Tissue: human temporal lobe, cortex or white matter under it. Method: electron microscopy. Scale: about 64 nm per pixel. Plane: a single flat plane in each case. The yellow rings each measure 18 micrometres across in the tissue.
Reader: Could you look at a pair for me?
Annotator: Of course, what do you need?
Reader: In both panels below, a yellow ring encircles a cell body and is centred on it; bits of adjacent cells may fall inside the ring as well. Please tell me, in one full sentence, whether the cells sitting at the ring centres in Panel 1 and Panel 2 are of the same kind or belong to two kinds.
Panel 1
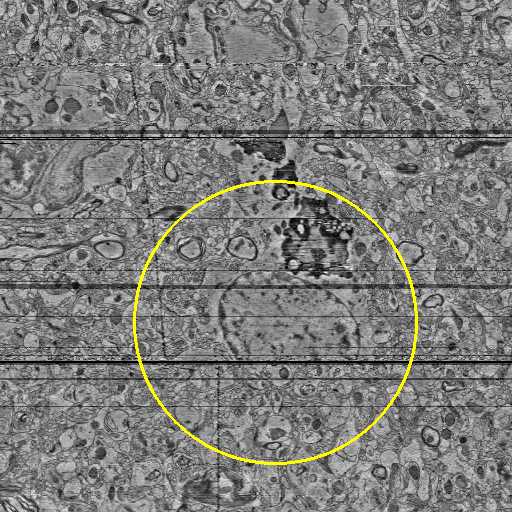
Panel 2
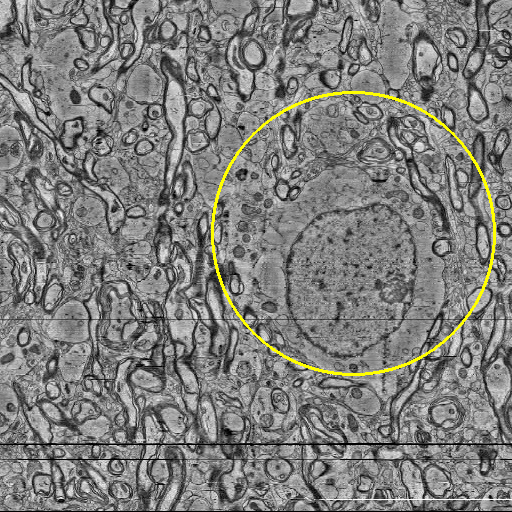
The cell at the ring's centre in Panel 1 and the one in Panel 2 are of the same kind.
